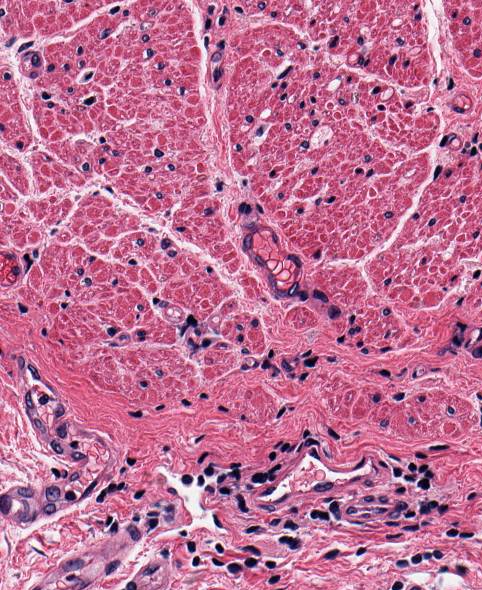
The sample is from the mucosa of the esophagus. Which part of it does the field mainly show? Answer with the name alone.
smooth muscle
